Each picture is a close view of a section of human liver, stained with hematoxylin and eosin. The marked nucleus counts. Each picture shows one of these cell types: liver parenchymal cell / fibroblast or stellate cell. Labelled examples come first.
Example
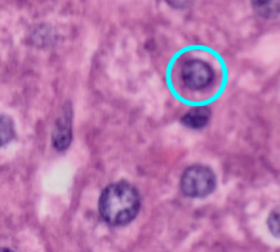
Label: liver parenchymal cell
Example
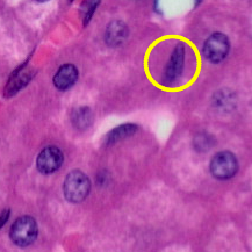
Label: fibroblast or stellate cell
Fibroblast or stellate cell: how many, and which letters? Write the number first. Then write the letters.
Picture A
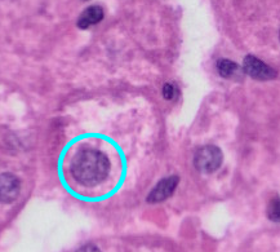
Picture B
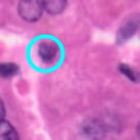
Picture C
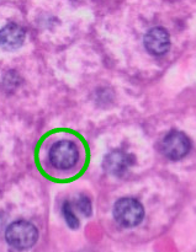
Count: 1 (B)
